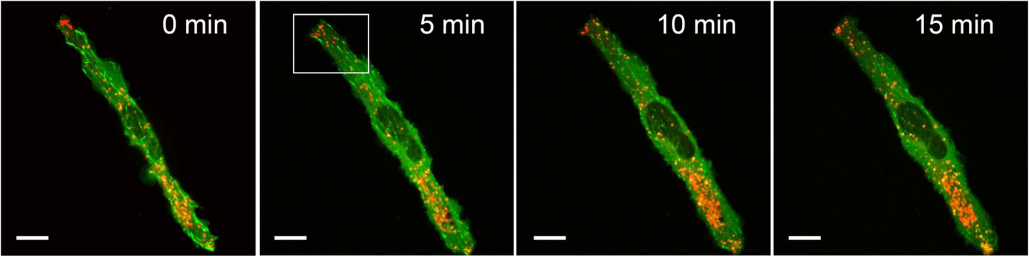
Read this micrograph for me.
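Fine green lines and short bright dashes run along the length of the cell. In the middle lies an unlabelled dark oval where the nucleus sits. Red granules are spread along the cell and crowd most densely at its two ends, especially the lower end.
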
